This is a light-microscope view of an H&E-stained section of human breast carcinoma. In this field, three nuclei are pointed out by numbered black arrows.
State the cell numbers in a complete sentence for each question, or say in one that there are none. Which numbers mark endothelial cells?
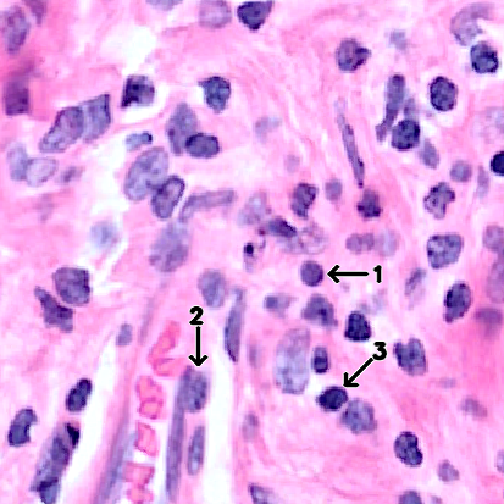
Only the cell numbered 2 is an endothelial cell; none of the others is.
